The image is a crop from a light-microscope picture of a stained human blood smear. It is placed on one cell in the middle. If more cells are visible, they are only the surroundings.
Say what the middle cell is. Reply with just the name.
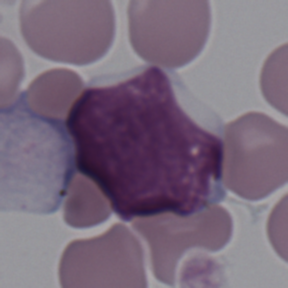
typical lymphocyte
